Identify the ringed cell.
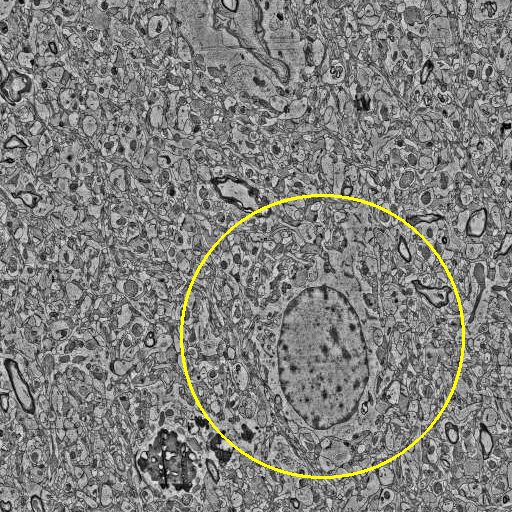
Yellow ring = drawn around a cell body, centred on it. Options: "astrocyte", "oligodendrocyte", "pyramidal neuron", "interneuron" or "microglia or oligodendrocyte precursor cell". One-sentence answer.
What the ring is centred on is an astrocyte.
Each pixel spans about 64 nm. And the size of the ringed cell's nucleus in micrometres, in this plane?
Approximately 9 micrometres long and 6 micrometres wide, so clearly longer than it is wide in this plane.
